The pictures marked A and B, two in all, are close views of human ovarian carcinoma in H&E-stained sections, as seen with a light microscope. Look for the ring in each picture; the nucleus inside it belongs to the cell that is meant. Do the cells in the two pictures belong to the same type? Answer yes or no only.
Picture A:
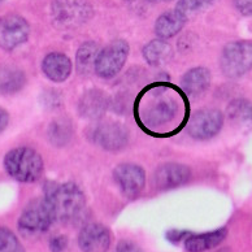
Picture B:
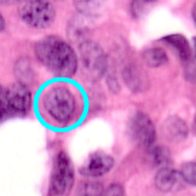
yes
